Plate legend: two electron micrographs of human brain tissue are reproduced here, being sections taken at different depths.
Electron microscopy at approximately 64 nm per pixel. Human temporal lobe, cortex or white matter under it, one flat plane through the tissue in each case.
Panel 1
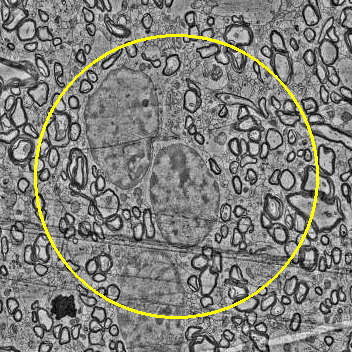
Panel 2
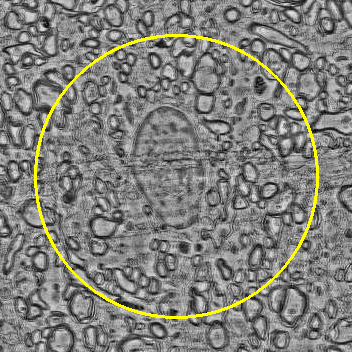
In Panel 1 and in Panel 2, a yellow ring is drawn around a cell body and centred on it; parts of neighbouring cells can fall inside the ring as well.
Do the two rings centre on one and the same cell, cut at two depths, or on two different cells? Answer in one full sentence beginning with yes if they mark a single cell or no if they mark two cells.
No, in this micrograph the two rings mark two different cells.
